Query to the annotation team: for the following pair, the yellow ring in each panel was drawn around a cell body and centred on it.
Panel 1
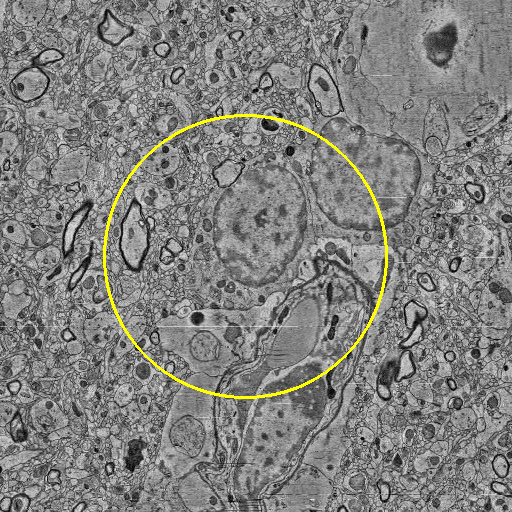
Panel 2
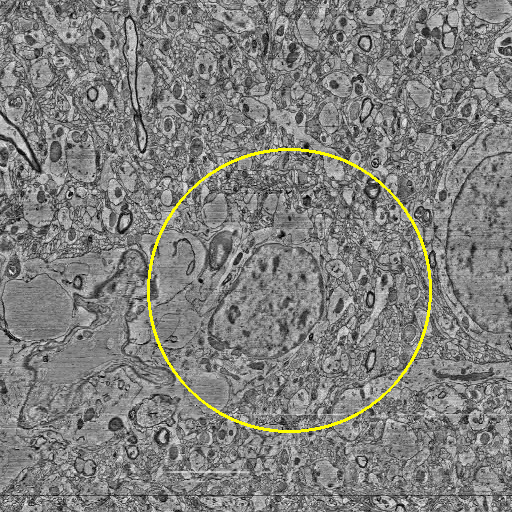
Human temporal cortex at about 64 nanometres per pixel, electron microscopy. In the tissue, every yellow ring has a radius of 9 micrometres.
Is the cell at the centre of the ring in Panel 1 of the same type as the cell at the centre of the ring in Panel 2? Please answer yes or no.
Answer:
no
